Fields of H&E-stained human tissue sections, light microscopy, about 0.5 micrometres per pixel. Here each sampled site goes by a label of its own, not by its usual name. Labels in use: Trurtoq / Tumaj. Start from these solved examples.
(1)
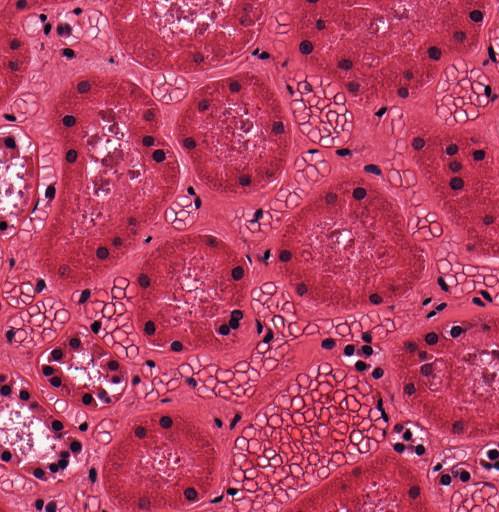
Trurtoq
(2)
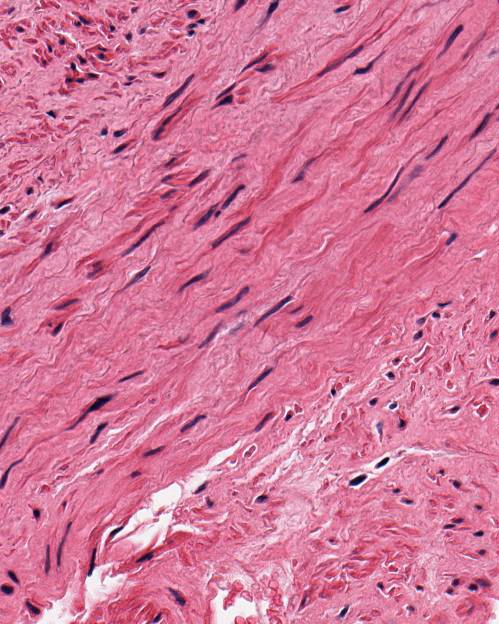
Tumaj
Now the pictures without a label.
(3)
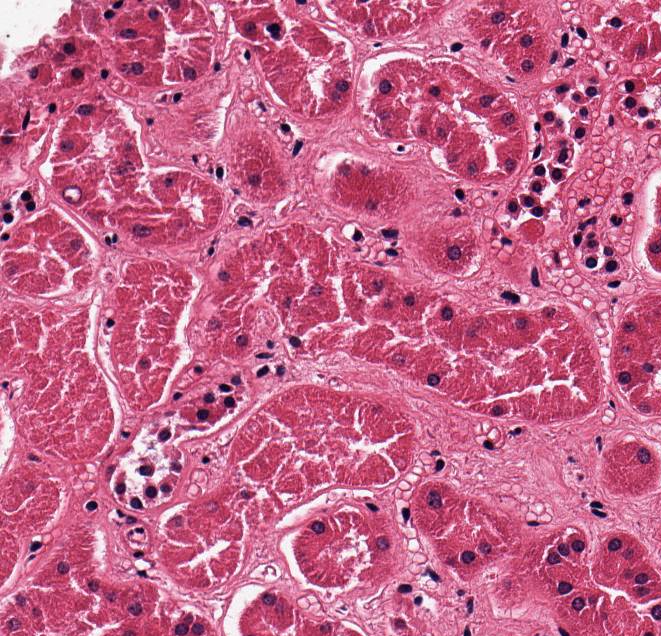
Trurtoq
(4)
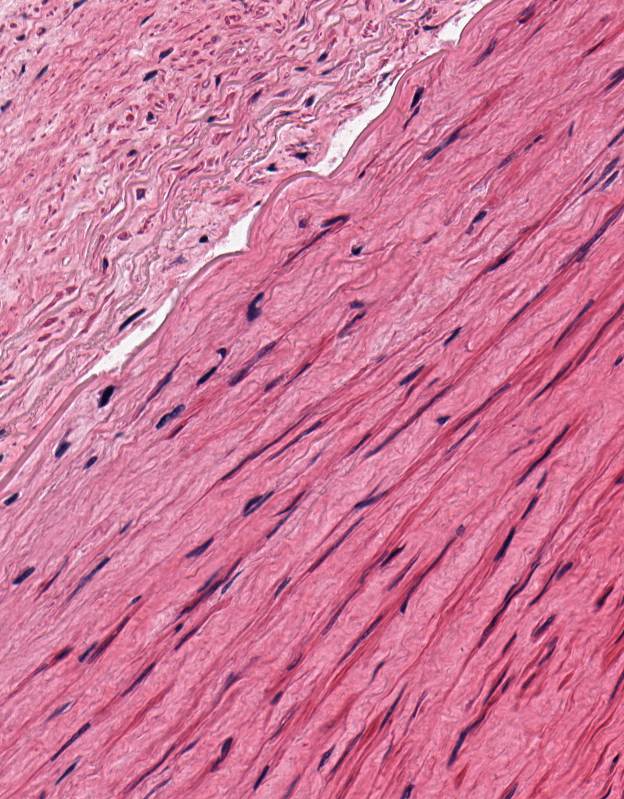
Tumaj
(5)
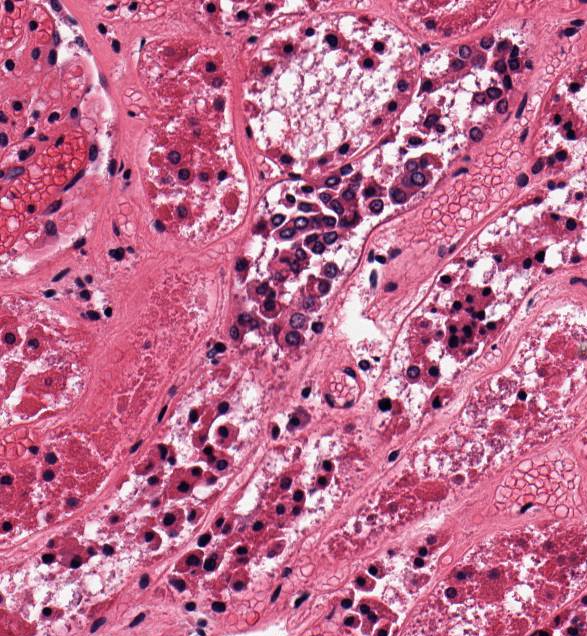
Trurtoq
